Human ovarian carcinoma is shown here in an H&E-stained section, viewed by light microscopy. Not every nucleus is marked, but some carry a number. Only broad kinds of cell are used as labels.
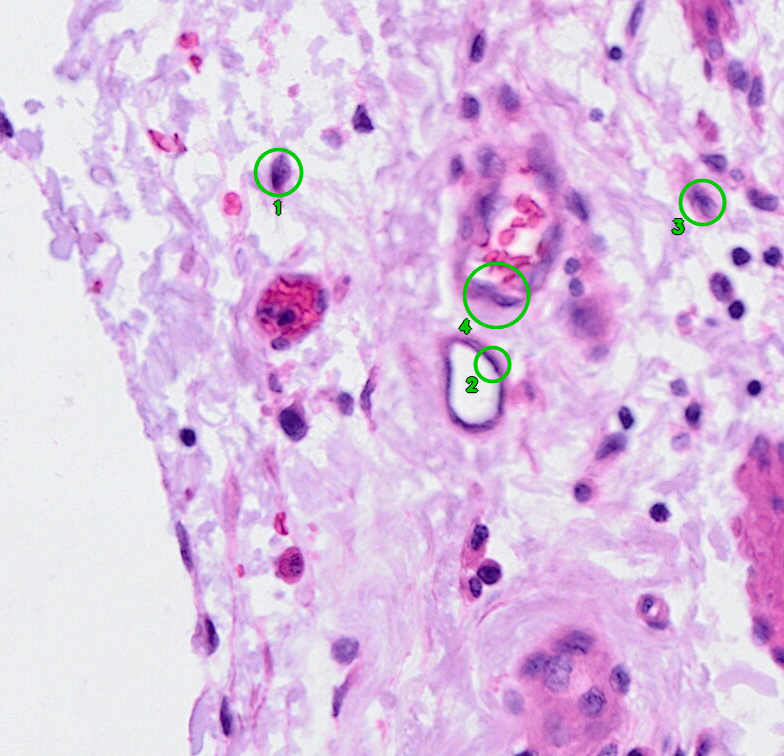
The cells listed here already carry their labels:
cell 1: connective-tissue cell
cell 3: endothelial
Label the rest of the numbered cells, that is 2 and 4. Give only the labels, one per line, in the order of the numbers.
endothelial
endothelial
